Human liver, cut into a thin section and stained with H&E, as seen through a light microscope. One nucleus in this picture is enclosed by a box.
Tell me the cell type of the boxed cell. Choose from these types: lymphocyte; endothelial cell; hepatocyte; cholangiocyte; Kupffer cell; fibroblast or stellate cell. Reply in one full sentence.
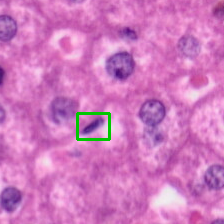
The boxed cell is an endothelial cell.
